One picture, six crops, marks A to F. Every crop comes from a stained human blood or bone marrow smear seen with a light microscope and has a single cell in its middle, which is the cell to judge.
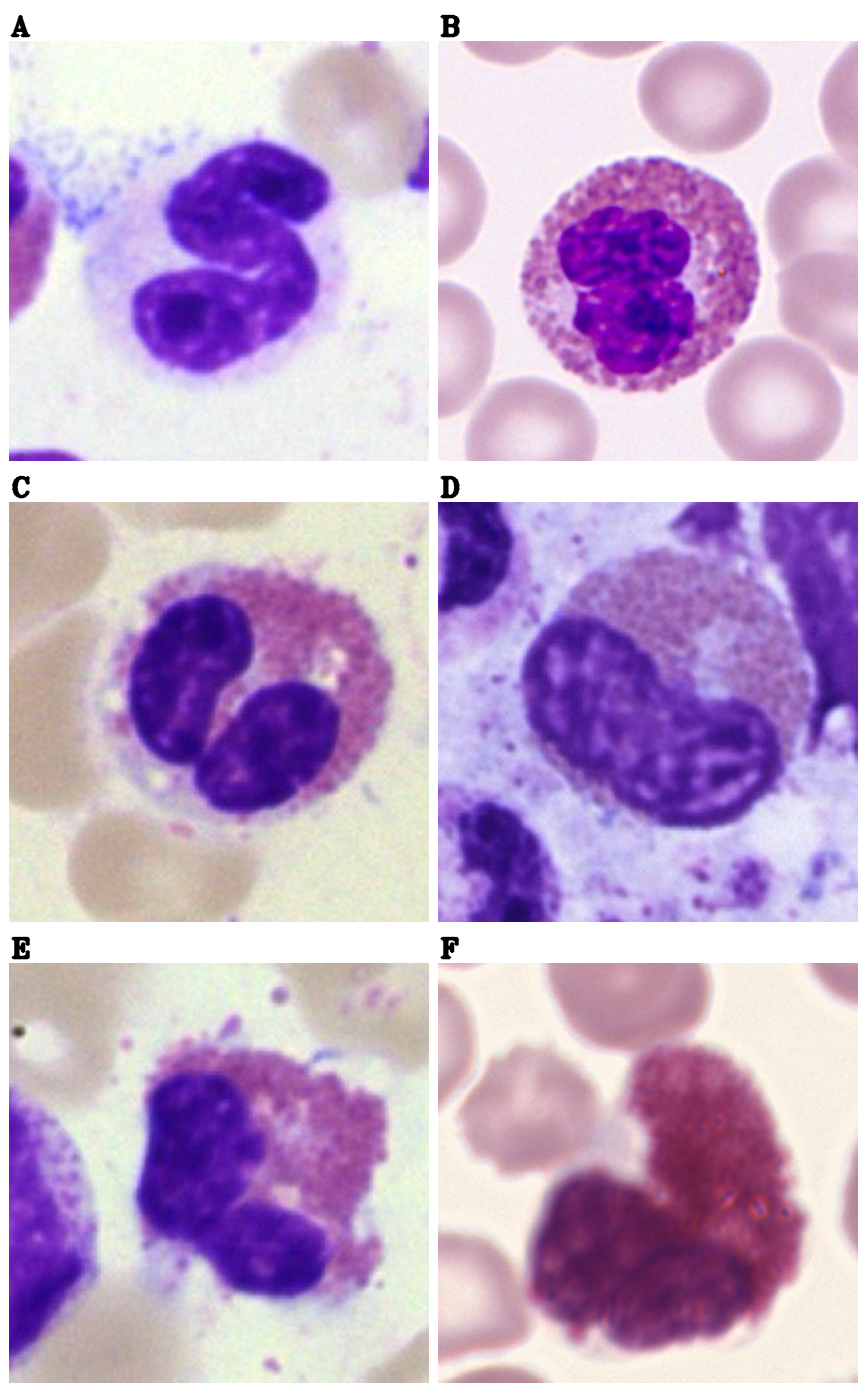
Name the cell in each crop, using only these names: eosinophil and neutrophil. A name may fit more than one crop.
A: neutrophil
B: eosinophil
C: eosinophil
D: eosinophil
E: eosinophil
F: eosinophil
